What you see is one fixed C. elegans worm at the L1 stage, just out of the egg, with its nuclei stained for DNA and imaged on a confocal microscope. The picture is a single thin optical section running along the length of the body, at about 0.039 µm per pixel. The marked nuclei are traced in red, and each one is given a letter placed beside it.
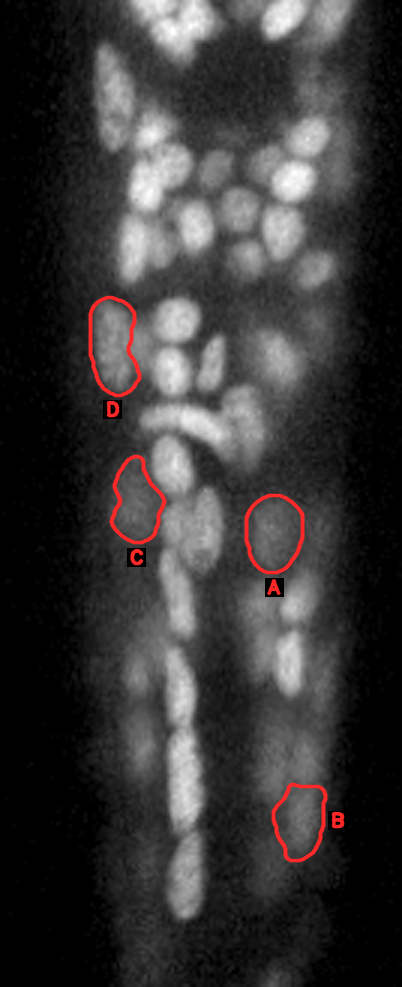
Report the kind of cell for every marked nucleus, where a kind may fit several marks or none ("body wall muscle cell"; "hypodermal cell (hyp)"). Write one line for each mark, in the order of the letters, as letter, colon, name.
A: body wall muscle cell
B: hypodermal cell (hyp)
C: body wall muscle cell
D: body wall muscle cell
